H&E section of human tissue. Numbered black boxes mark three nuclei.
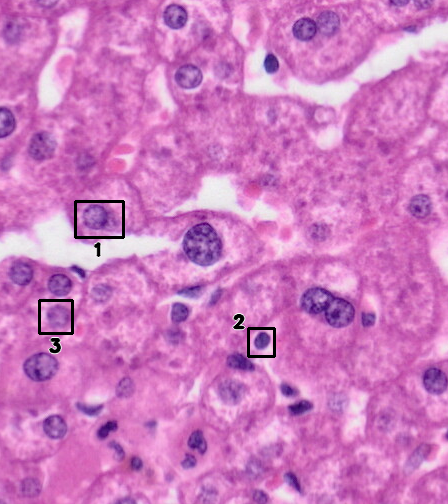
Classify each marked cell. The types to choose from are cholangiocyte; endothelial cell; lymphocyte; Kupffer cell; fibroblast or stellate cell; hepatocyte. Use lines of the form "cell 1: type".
cell 1: hepatocyte
cell 2: lymphocyte
cell 3: hepatocyte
